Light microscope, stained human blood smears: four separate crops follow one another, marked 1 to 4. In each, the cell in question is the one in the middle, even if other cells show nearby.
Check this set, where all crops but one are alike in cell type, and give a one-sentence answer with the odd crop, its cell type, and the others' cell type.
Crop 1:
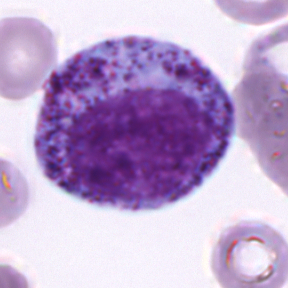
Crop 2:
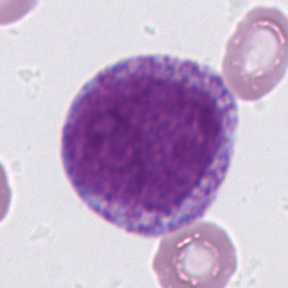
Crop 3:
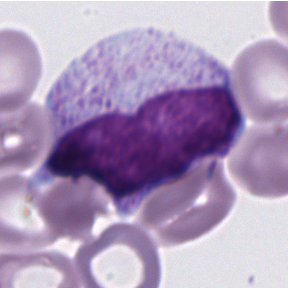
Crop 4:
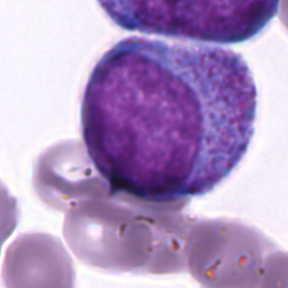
Crop 3 is the different one, a myelocyte, while the rest are promyelocytes.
